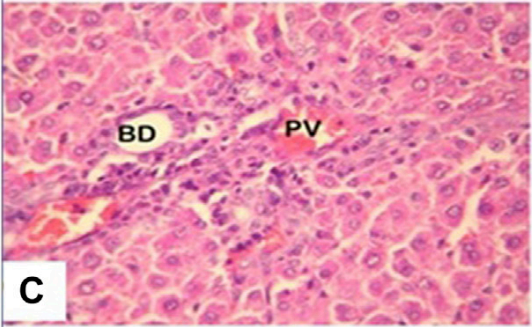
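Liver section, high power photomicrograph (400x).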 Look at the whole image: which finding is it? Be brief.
Inflammatory cell infiltration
